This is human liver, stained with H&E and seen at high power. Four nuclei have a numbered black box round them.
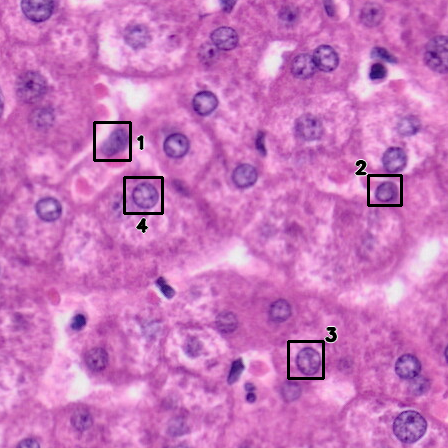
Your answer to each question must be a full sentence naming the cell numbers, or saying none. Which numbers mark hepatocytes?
The cells whose numbers are 3 and 4 are hepatocytes.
